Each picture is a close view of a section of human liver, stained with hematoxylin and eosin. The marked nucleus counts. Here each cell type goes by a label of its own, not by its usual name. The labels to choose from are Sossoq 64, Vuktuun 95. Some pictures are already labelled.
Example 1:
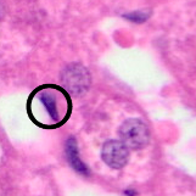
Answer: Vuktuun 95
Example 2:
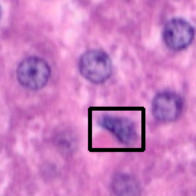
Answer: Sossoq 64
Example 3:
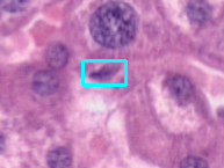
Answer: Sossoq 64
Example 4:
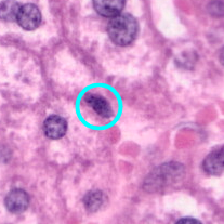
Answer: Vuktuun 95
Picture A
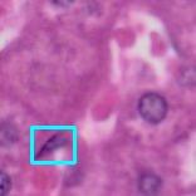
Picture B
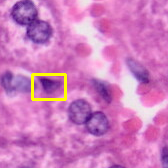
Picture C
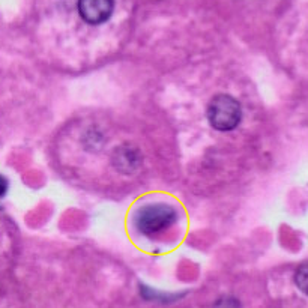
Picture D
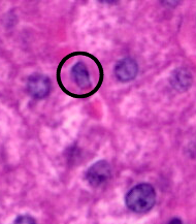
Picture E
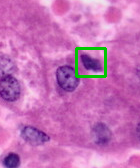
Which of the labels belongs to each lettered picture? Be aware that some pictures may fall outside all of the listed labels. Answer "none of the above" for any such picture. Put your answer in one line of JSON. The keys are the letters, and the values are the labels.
{"A": "Sossoq 64", "B": "Vuktuun 95", "C": "Sossoq 64", "D": "Sossoq 64", "E": "Vuktuun 95"}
